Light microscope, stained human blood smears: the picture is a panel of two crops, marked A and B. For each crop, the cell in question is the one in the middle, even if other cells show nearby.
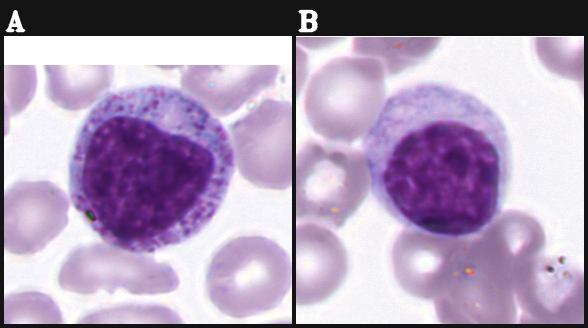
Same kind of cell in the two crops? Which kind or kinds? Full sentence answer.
Yes, the cells of interest in both crops are myelocytes.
